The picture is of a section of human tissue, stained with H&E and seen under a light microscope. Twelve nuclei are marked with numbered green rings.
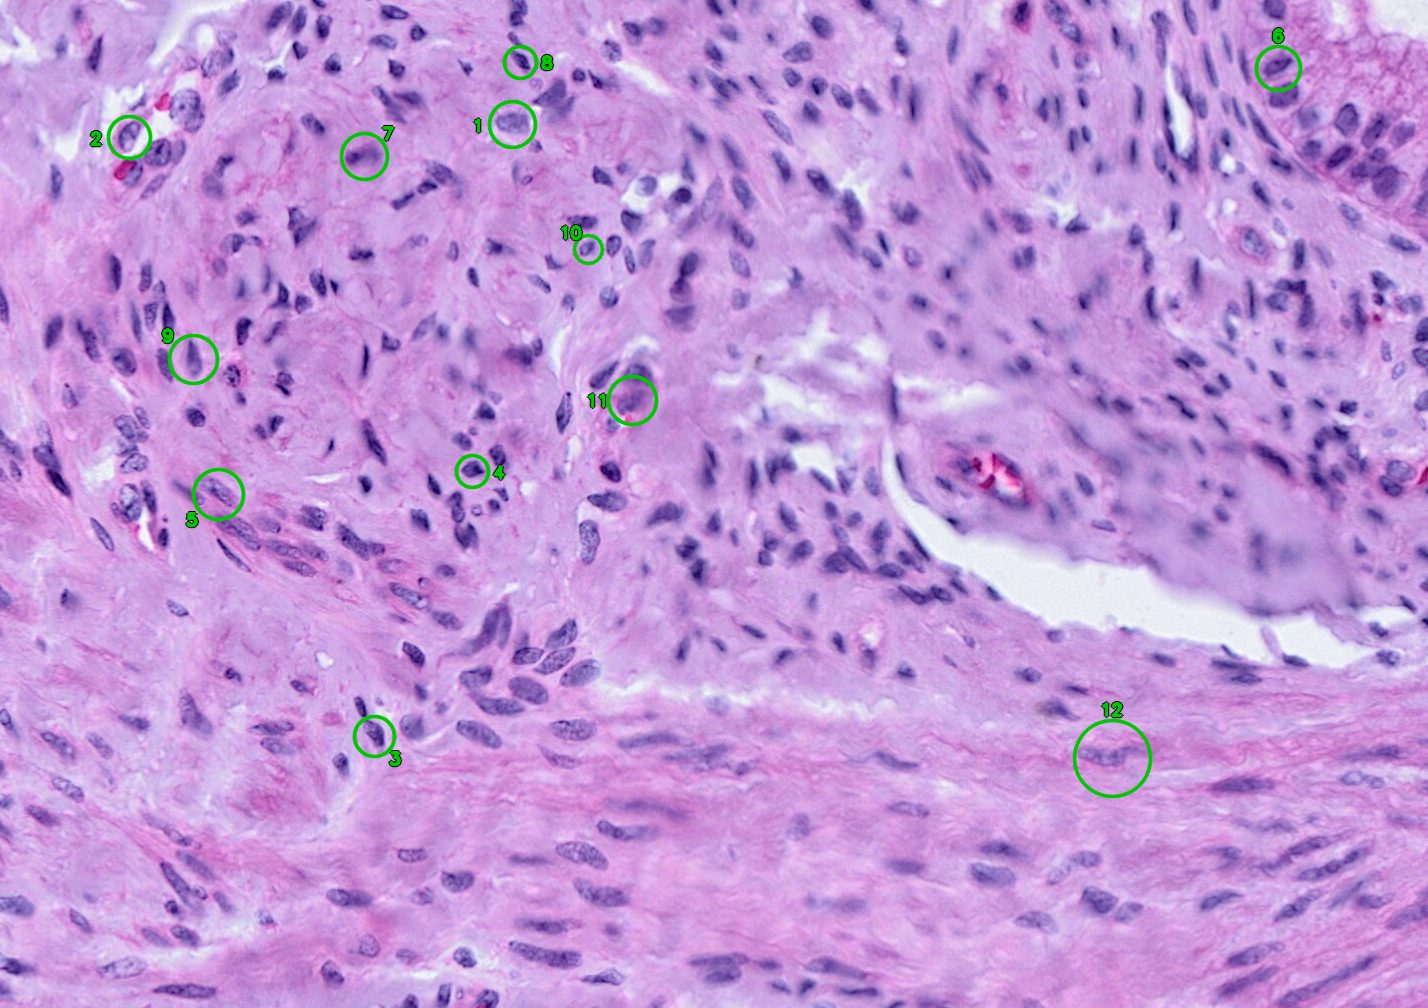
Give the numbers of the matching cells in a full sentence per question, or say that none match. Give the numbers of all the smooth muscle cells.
The identity of cells 5 and 12: they are smooth muscle cells.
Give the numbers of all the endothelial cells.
The cells picked out by numbers 2 and 11 are endothelial cells.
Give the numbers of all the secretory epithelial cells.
There is just one numbered cell that is a secretory epithelial cell, and it is cell 6.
